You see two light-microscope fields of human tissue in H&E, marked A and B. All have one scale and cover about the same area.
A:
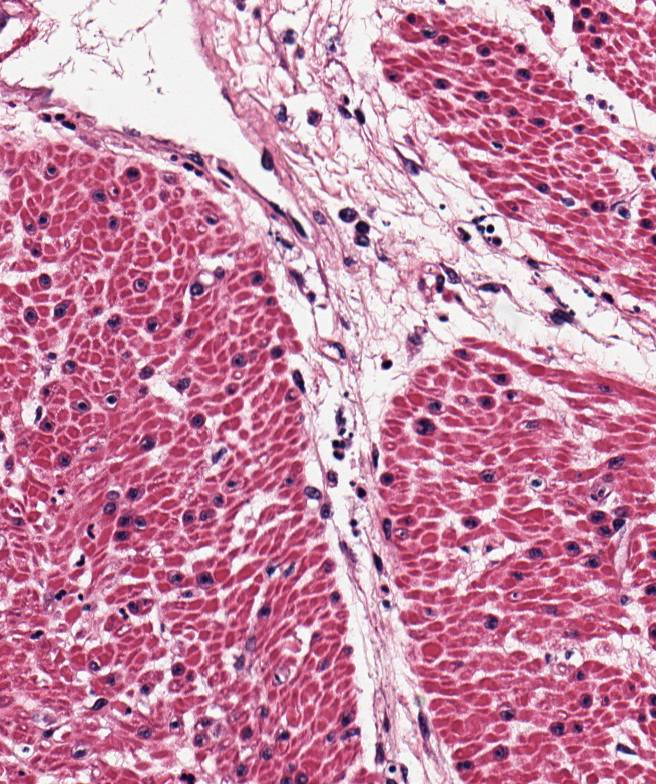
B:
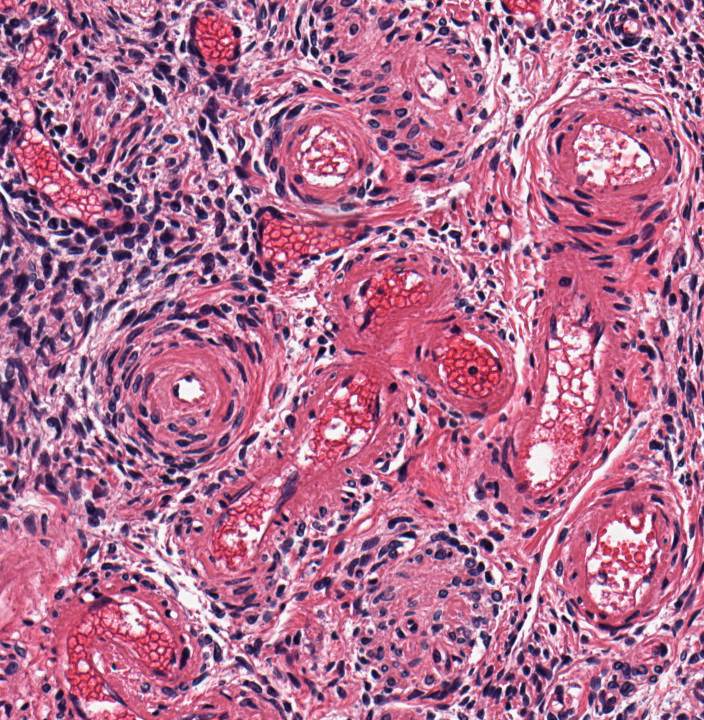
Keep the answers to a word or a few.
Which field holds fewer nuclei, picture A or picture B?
A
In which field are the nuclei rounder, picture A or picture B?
A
